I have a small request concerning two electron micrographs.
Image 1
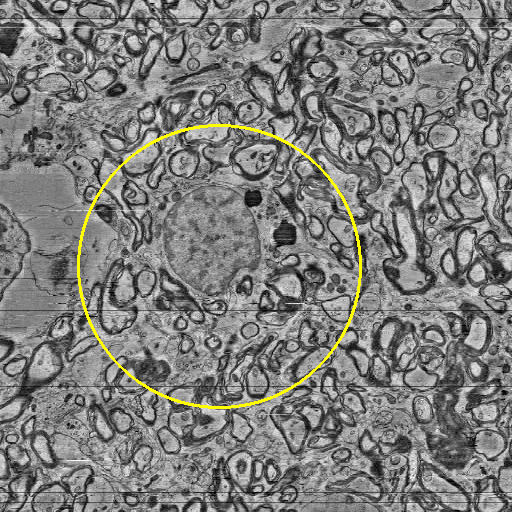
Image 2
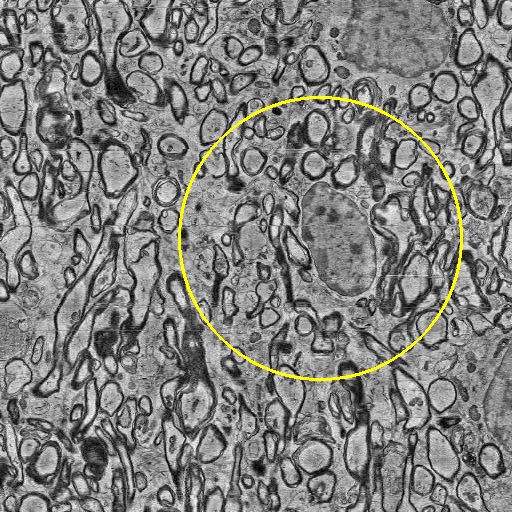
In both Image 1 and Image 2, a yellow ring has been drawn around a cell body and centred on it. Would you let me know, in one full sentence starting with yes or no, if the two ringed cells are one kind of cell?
No, the cells ringed in Image 1 and Image 2 are two kinds of cell.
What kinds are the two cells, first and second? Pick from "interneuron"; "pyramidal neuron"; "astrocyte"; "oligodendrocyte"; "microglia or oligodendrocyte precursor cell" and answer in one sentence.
The second picture holds a microglial cell or oligodendrocyte precursor cell in its ring, and the first holds an oligodendrocyte.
